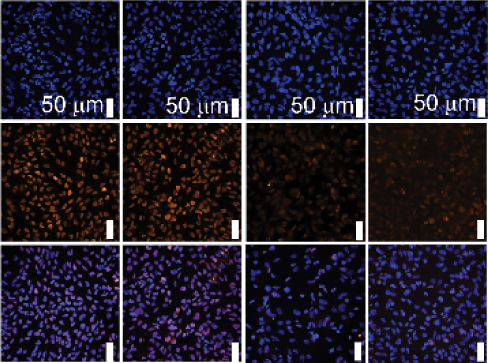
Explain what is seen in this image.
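In the two left columns the orange staining is bright and lies within the nuclei of nearly every cell, so the merged images look purple-orange. In the two right columns the nuclei are similarly spread, but the orange staining is much fainter, and the merged images look mainly blue.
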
